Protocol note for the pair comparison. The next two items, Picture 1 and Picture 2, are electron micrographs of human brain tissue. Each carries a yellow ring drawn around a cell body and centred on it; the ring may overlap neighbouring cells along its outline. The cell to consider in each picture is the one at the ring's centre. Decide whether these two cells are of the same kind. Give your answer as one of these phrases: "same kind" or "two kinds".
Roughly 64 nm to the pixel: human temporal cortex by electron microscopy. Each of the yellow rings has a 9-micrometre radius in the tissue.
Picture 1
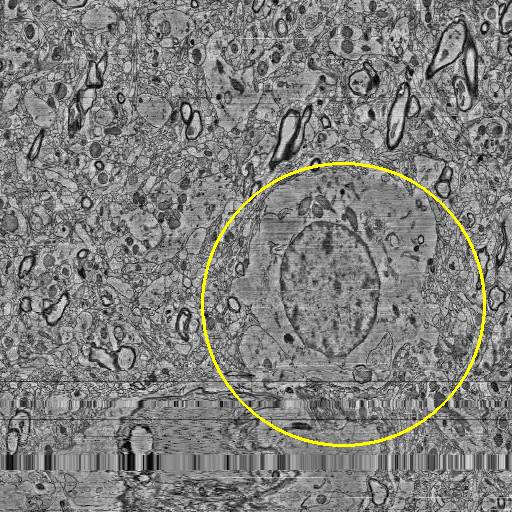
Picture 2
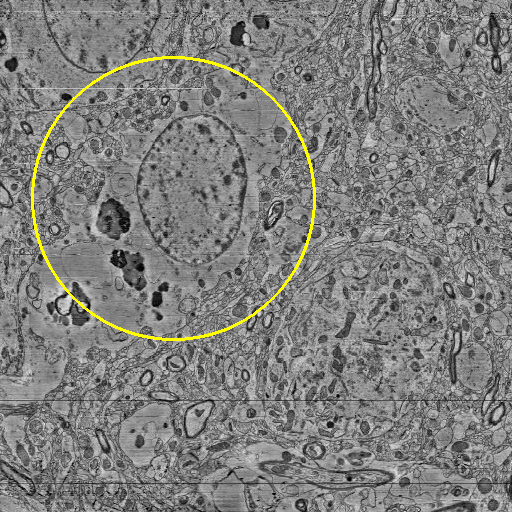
same kind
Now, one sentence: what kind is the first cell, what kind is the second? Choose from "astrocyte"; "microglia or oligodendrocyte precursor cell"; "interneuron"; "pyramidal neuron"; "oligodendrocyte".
The ring centre holds an astrocyte in each of the two pictures.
